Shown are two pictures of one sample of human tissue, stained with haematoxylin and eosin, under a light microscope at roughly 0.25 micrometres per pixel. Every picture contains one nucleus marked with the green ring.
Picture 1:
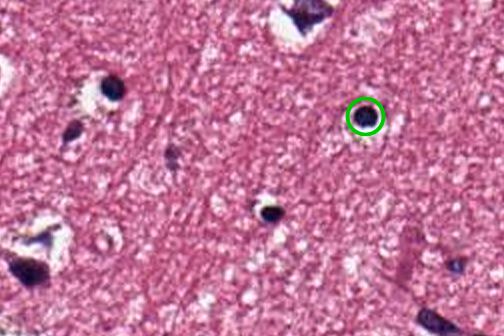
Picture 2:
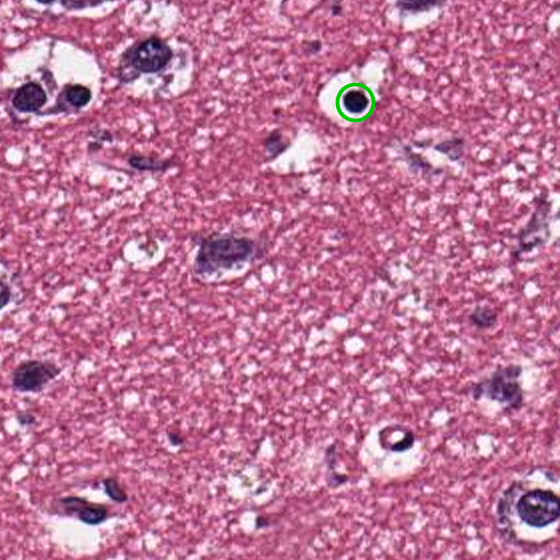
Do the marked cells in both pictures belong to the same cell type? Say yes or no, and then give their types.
Yes, both are oligodendrocytes.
